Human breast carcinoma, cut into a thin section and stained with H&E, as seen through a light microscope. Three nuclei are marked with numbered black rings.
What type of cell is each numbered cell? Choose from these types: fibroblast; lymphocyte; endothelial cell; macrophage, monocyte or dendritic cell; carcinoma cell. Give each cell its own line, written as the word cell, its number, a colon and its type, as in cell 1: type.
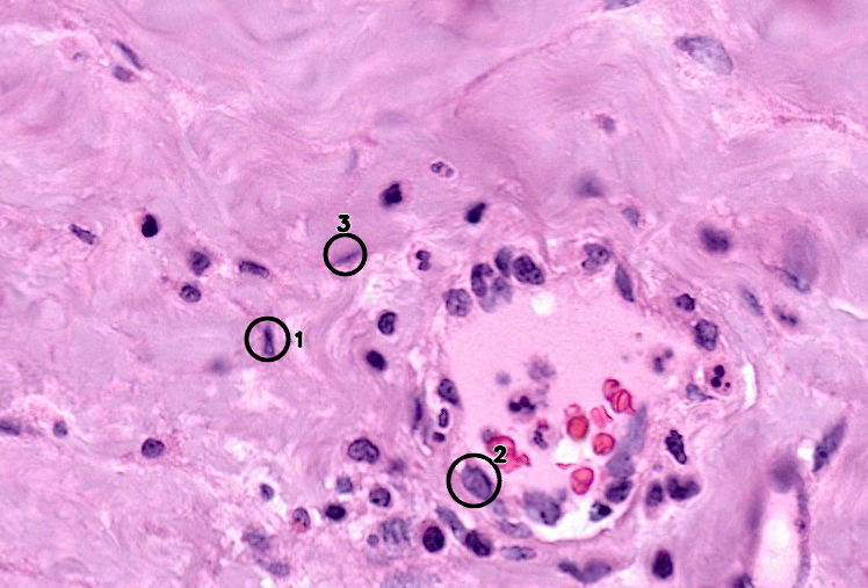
cell 1: fibroblast
cell 2: endothelial cell
cell 3: fibroblast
